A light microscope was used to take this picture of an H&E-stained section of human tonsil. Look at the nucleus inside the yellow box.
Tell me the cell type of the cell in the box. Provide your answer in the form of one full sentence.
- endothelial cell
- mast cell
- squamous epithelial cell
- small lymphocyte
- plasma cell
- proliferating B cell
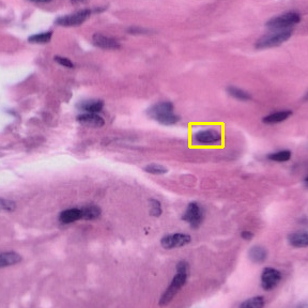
In this section of tissue, the cell in the box is a mast cell.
